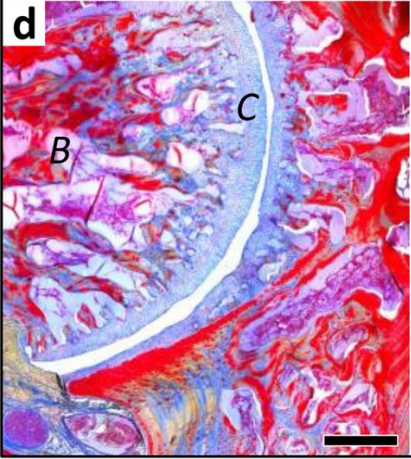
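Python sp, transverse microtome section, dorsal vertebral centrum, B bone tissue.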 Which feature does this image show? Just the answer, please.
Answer: synovial joint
